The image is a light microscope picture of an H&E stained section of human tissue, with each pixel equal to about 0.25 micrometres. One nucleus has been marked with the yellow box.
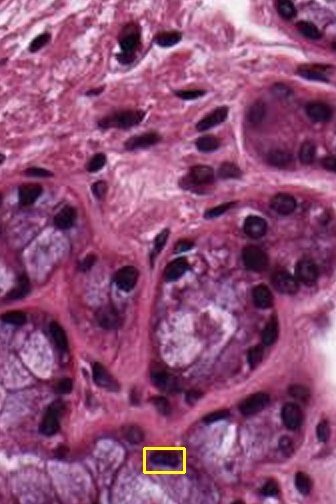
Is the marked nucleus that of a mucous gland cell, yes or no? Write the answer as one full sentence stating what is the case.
Yes, the marked nucleus, in this picture, is that of a mucous gland cell.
